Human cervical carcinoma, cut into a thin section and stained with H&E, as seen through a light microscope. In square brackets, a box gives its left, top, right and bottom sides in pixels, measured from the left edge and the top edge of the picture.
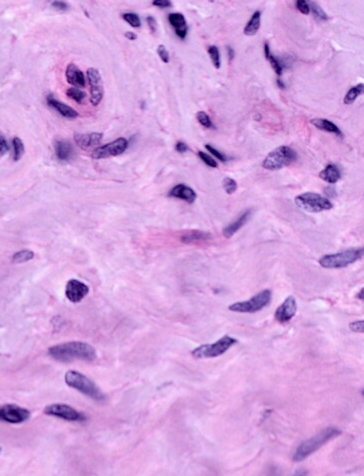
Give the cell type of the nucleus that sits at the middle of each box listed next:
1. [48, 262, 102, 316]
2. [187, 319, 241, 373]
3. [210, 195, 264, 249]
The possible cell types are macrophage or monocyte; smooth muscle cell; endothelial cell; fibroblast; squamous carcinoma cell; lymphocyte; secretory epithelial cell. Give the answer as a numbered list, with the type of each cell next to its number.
1. lymphocyte
2. fibroblast
3. fibroblast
